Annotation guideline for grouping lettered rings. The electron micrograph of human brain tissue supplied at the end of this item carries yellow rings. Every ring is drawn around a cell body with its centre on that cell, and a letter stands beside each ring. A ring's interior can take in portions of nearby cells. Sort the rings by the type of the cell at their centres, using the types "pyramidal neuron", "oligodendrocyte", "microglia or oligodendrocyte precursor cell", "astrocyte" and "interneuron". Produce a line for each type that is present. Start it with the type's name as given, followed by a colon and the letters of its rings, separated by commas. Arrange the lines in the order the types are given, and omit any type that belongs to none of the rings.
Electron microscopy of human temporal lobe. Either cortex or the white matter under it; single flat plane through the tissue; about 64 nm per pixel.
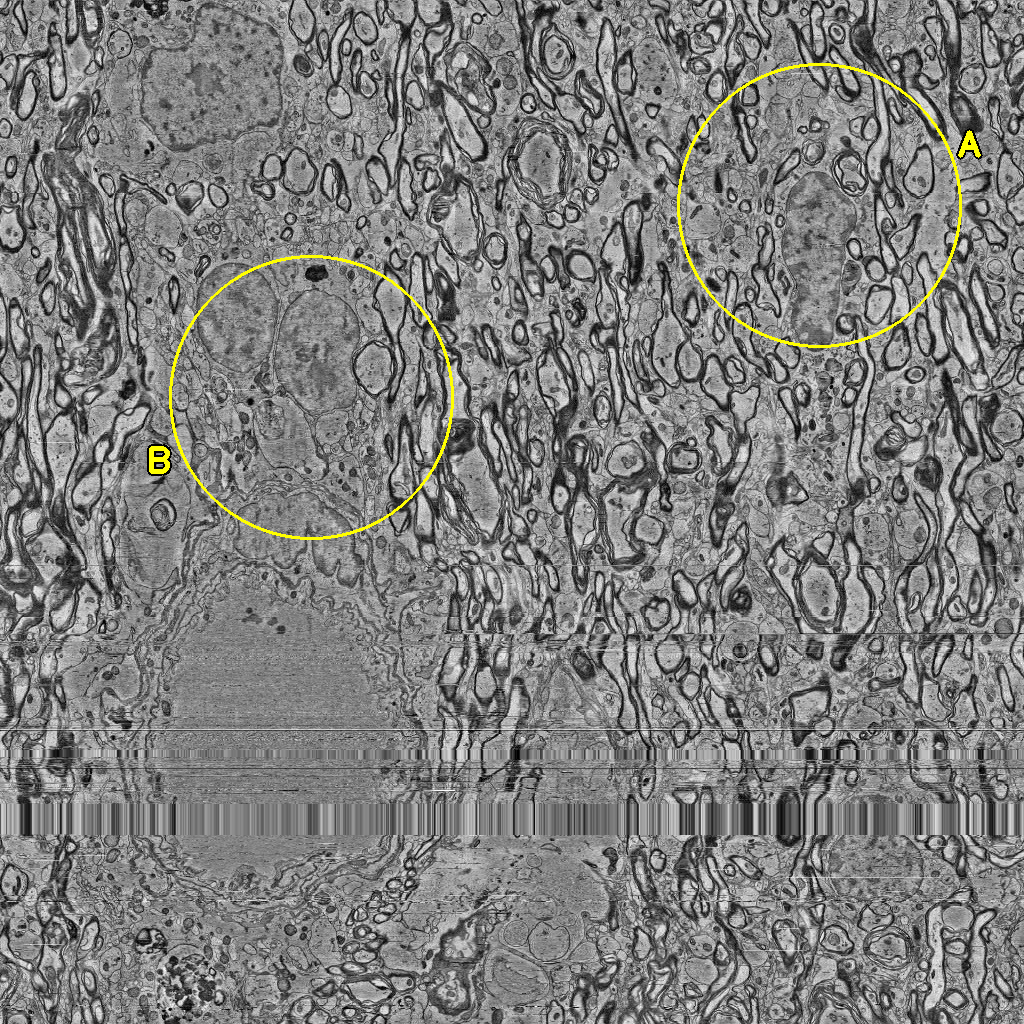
oligodendrocyte: B
microglia or oligodendrocyte precursor cell: A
